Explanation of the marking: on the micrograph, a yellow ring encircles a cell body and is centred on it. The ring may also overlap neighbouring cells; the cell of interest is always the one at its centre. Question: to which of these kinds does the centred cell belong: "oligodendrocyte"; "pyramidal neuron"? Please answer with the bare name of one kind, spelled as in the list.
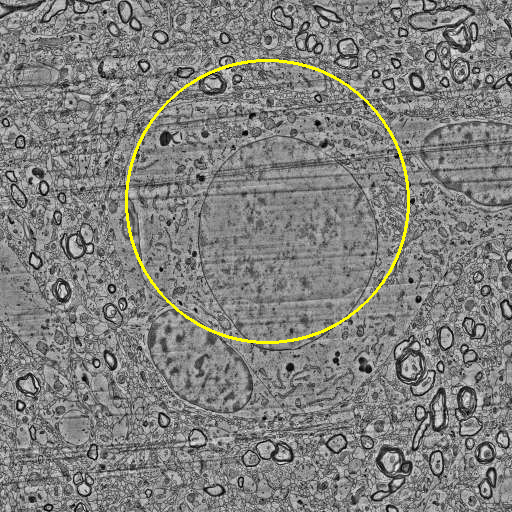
pyramidal neuron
